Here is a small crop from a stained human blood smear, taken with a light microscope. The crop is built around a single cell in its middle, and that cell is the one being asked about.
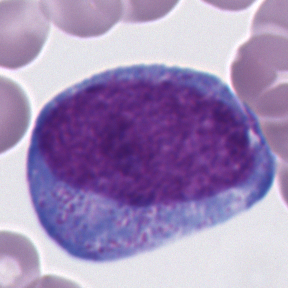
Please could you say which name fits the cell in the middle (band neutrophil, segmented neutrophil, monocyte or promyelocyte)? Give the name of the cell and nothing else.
promyelocyte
